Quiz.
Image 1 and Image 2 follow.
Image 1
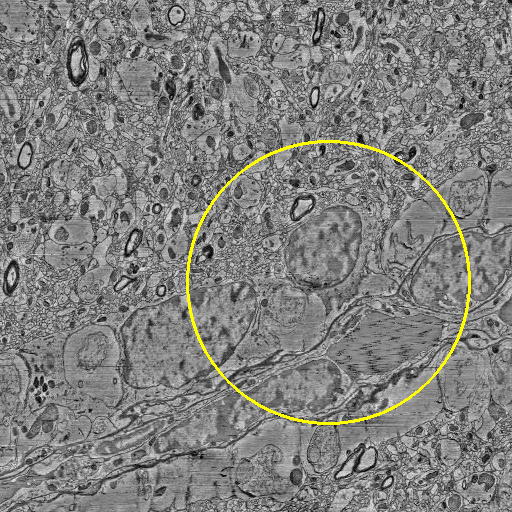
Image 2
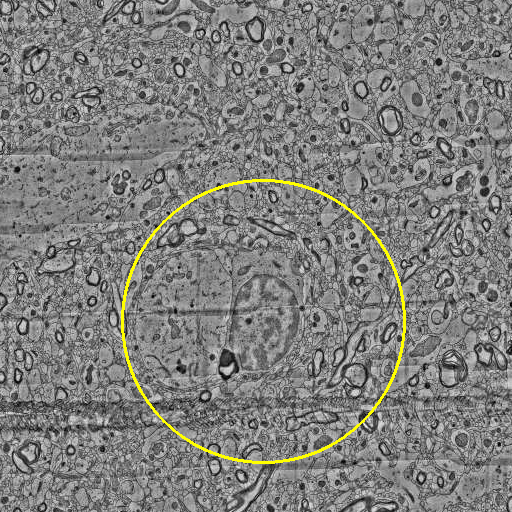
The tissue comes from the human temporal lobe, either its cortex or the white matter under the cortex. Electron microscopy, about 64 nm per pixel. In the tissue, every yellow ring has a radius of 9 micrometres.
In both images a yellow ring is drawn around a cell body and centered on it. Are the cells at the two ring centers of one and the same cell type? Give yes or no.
yes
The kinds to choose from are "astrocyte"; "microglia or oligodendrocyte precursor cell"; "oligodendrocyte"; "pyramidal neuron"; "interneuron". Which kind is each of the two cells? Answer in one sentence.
Each of the two cells is an oligodendrocyte.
